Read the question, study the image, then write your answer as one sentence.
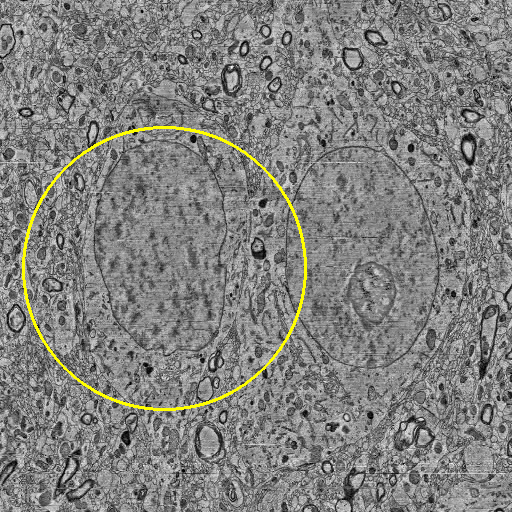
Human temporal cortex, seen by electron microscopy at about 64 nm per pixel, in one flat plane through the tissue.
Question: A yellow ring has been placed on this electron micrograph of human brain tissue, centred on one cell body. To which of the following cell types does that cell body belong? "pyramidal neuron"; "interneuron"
That cell body belongs to a pyramidal neuron.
